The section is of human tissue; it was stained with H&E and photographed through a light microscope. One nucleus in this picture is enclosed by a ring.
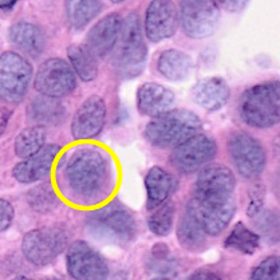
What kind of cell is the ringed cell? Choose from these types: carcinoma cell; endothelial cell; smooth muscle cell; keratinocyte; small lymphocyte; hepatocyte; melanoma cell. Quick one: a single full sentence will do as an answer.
Among the cells in this section, the ringed cell is a carcinoma cell.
